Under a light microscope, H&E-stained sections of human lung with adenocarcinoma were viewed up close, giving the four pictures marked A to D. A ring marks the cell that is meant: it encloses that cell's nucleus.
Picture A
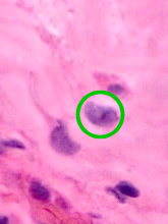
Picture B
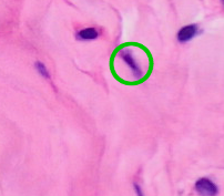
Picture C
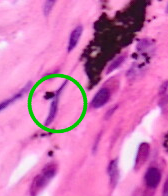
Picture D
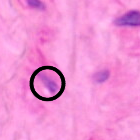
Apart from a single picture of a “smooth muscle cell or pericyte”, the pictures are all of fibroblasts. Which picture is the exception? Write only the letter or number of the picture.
D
